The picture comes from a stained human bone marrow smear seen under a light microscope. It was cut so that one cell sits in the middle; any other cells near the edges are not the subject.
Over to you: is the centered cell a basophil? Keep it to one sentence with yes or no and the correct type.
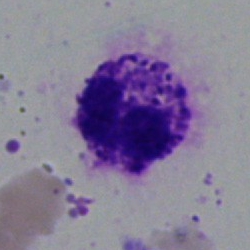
Yes, at the centre of the crop lies a basophil.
